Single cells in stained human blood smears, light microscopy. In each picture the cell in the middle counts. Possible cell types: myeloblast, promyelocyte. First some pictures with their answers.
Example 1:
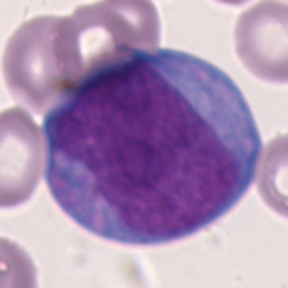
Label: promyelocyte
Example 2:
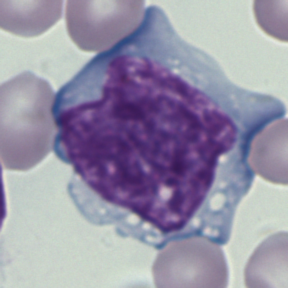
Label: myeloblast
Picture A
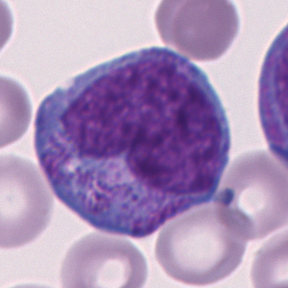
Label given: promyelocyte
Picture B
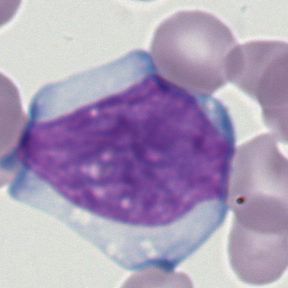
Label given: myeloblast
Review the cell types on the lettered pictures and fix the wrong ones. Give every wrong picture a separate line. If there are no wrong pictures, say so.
No label is wrong.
